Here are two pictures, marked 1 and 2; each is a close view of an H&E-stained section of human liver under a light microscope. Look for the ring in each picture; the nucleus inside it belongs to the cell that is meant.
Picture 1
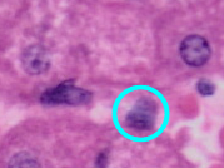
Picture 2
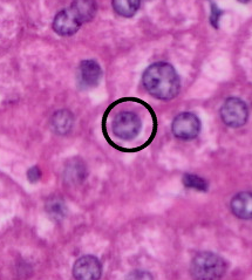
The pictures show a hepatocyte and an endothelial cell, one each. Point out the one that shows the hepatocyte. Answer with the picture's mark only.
2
